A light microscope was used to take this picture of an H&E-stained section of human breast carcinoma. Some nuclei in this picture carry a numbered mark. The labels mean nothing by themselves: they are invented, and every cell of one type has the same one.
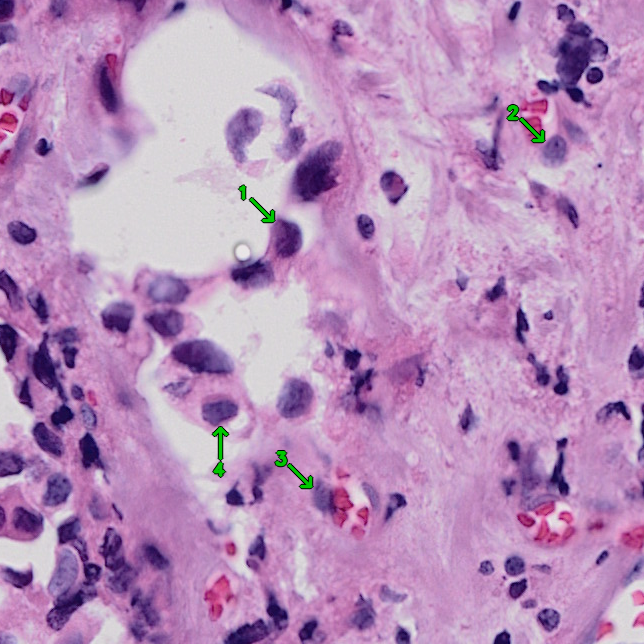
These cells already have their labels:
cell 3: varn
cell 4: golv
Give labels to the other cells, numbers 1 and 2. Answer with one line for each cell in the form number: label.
1: golv
2: varn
